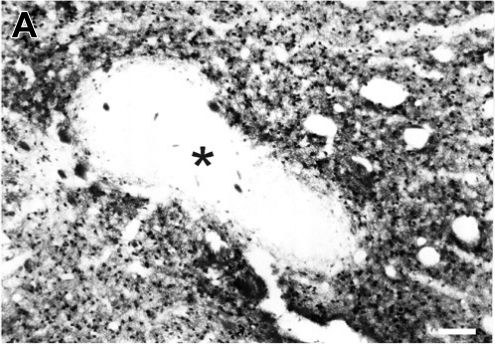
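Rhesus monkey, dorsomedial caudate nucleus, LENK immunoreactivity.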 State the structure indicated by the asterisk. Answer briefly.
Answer: Striosomes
